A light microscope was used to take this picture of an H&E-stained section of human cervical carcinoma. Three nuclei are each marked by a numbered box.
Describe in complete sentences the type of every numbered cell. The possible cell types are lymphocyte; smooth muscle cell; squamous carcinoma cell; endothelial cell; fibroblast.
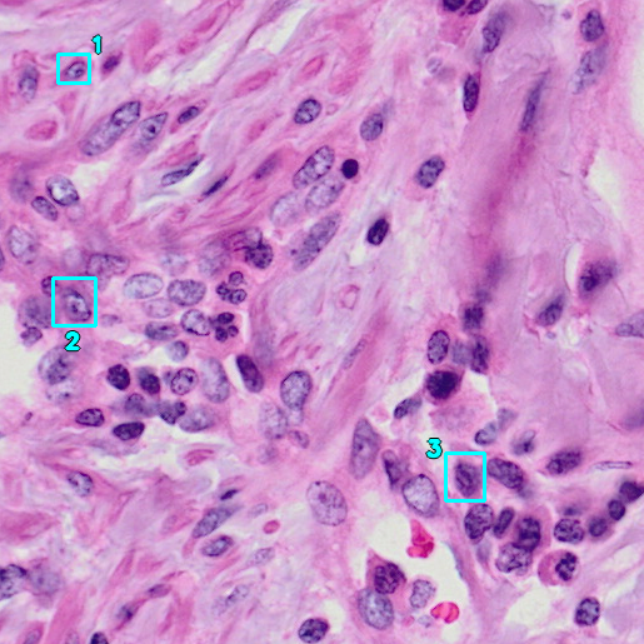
Cell 1 is a smooth muscle cell, cell 2 is an endothelial cell and cell 3 is a lymphocyte.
